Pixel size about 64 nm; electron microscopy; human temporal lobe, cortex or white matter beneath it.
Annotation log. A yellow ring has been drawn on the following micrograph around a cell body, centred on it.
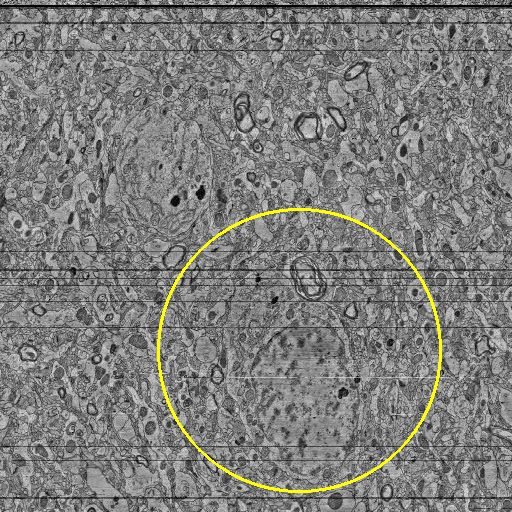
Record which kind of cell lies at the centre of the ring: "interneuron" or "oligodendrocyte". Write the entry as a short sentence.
The cell the ring is centred on is an interneuron.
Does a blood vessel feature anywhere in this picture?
No, the image shows no blood vessel.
